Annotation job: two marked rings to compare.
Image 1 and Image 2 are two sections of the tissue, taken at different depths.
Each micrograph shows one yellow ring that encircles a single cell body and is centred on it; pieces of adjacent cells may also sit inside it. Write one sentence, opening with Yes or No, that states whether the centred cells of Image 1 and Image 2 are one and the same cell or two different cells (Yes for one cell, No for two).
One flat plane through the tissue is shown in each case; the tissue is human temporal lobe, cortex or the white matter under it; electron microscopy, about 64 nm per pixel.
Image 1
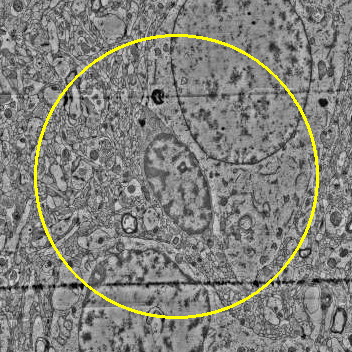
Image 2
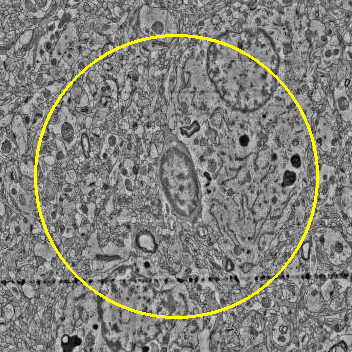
Yes, one single cell is under each of the two rings.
